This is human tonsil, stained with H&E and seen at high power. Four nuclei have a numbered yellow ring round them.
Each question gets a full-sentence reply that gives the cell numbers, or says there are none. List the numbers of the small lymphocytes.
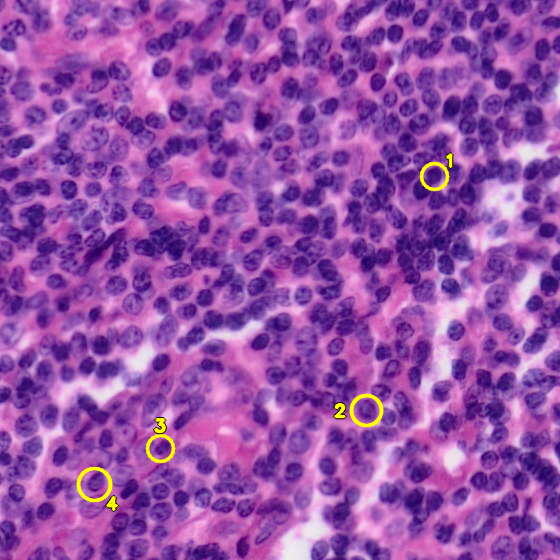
Mind that only cell 1 is a small lymphocyte, none of the rest.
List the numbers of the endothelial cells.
Cells 3 and 4 are endothelial cells by cell type.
